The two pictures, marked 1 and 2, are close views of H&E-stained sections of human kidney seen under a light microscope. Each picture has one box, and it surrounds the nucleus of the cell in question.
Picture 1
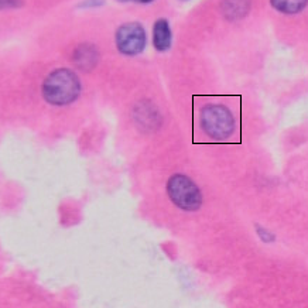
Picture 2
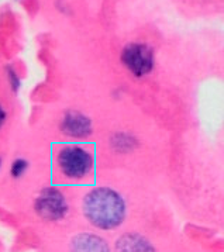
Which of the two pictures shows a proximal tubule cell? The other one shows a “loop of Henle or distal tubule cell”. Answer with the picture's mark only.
1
